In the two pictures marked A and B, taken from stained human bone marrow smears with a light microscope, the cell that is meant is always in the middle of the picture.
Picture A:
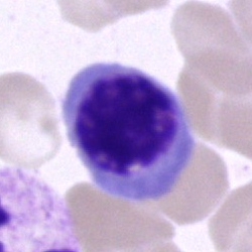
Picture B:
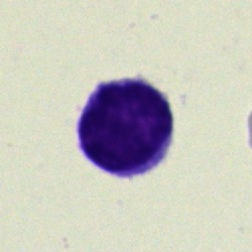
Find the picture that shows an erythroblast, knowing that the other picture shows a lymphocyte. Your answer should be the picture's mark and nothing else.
A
